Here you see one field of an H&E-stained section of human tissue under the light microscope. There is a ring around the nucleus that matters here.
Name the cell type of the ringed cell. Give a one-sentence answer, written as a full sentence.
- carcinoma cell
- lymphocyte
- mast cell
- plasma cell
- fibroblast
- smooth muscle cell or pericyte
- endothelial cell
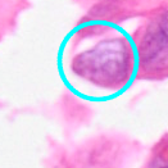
Speaking plainly, the ringed cell is nothing other than a carcinoma cell.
